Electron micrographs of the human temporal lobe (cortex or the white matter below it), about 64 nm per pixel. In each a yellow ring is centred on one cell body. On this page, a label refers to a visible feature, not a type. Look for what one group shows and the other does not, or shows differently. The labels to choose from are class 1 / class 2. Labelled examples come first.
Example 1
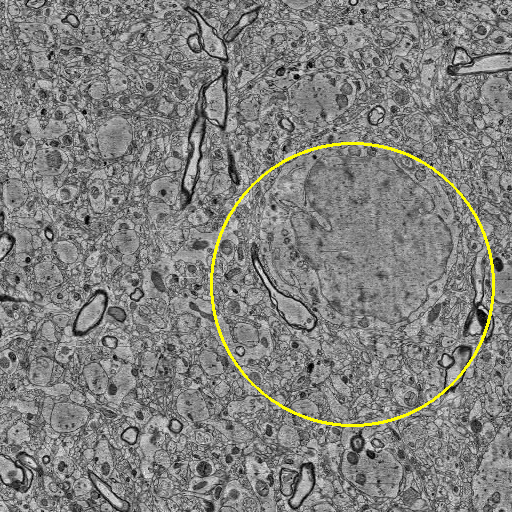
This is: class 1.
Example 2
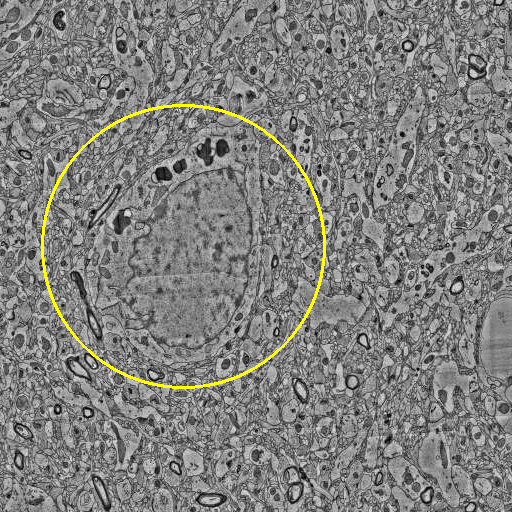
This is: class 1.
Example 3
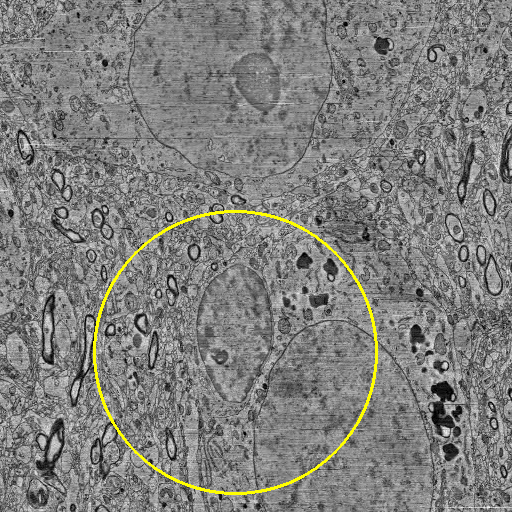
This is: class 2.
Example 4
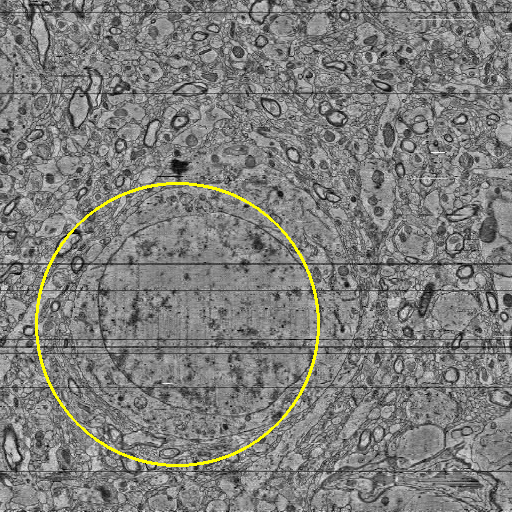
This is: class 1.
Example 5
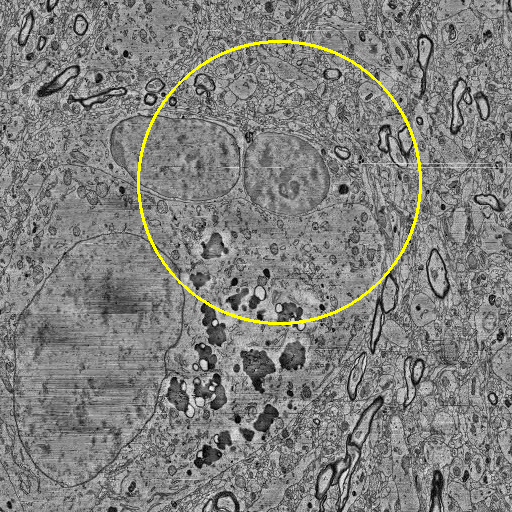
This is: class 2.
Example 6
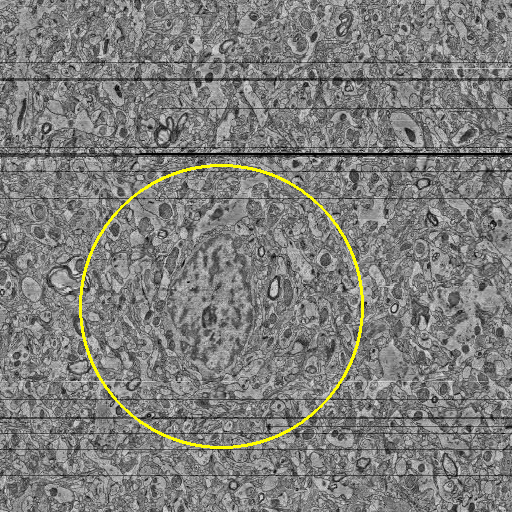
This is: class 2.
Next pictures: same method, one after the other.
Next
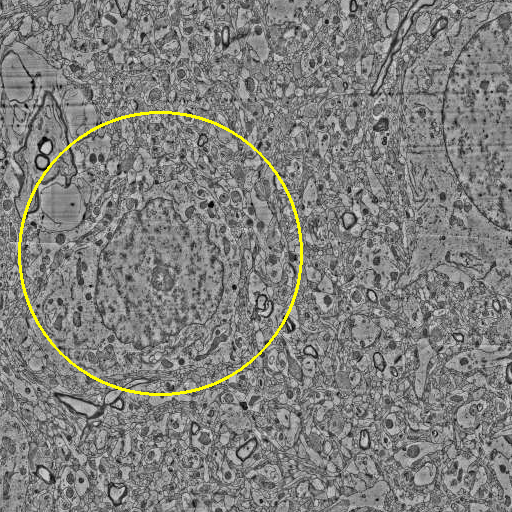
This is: class 2.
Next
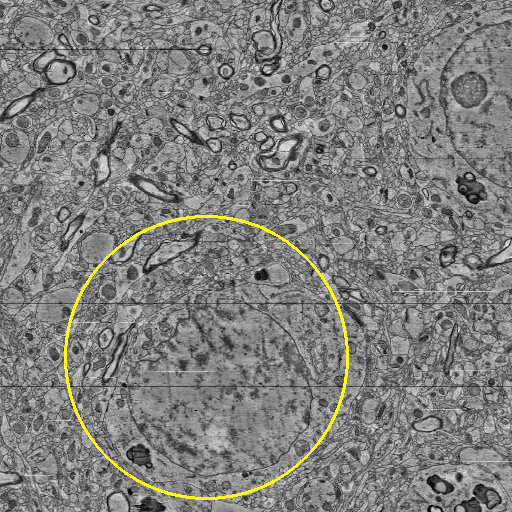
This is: class 1.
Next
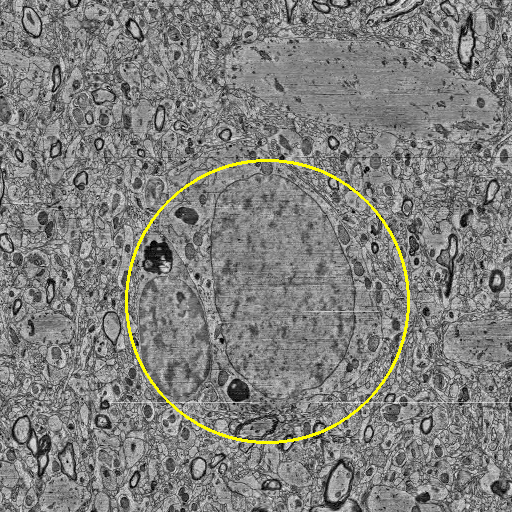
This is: class 1.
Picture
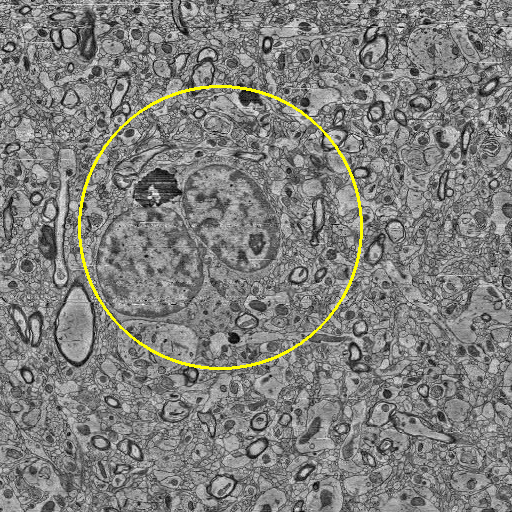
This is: class 2.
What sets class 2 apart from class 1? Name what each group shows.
In class 2: nucleolus seen. In class 1: no nucleolus seen.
